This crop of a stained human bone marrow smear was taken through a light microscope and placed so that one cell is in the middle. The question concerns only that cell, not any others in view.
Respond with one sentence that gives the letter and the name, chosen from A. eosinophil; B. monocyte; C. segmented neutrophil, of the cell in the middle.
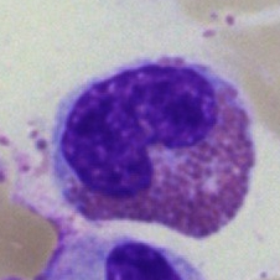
As the central cell is an eosinophil, option A is correct.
